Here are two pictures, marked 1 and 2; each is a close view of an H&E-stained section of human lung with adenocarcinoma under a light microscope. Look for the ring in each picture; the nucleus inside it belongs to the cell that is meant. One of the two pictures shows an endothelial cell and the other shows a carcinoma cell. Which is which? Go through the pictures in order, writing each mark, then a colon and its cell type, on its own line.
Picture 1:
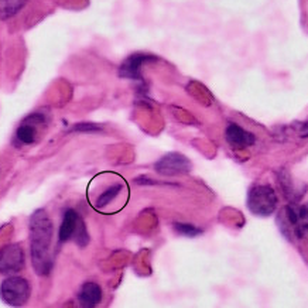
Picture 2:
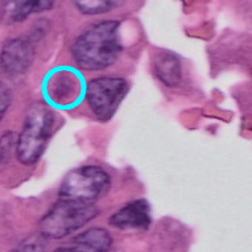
1: endothelial cell
2: carcinoma cell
